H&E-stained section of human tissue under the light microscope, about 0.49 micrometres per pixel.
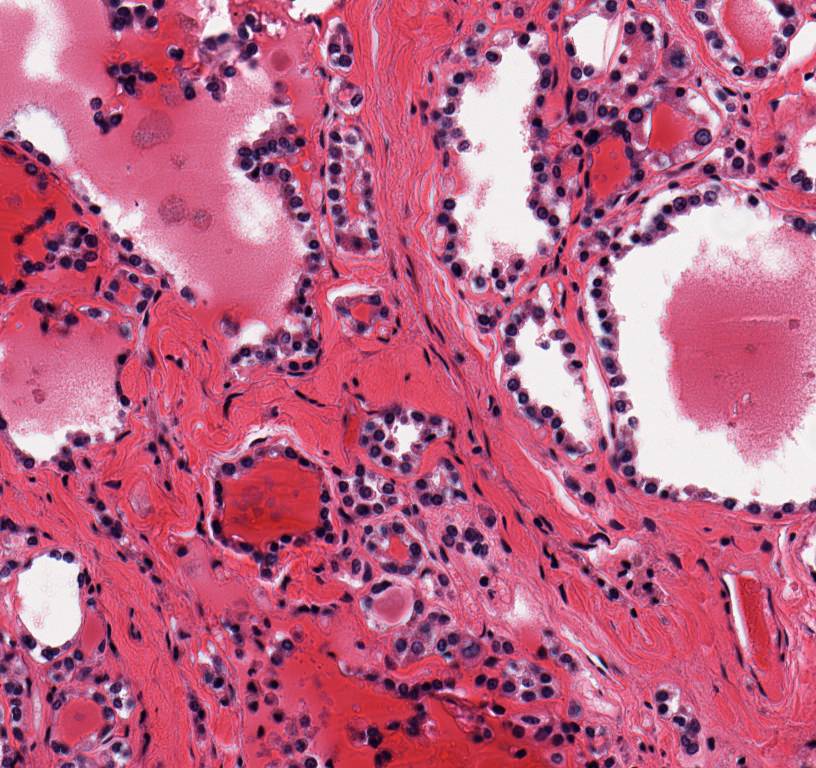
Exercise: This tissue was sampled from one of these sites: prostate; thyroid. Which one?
thyroid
